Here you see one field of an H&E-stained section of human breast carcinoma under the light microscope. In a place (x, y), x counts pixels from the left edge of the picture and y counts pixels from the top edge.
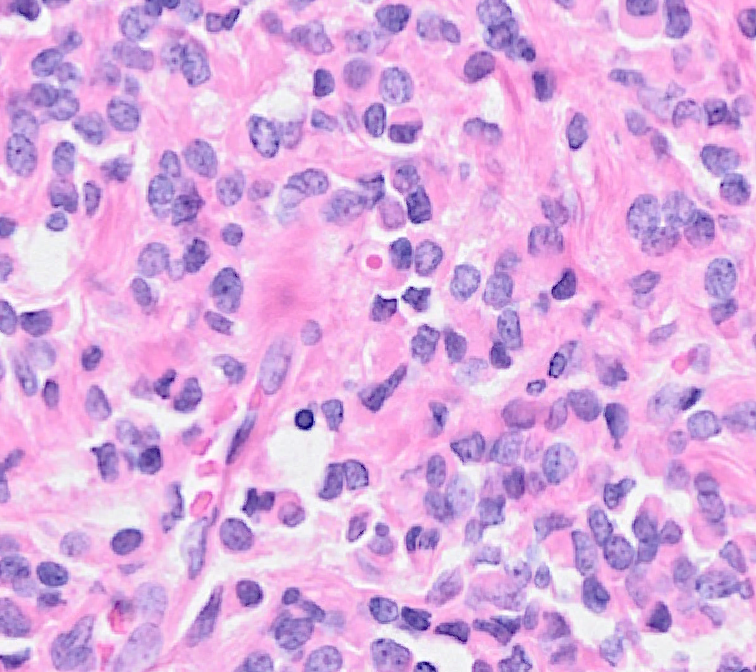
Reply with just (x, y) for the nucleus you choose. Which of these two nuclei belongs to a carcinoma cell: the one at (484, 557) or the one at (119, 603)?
(484, 557)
